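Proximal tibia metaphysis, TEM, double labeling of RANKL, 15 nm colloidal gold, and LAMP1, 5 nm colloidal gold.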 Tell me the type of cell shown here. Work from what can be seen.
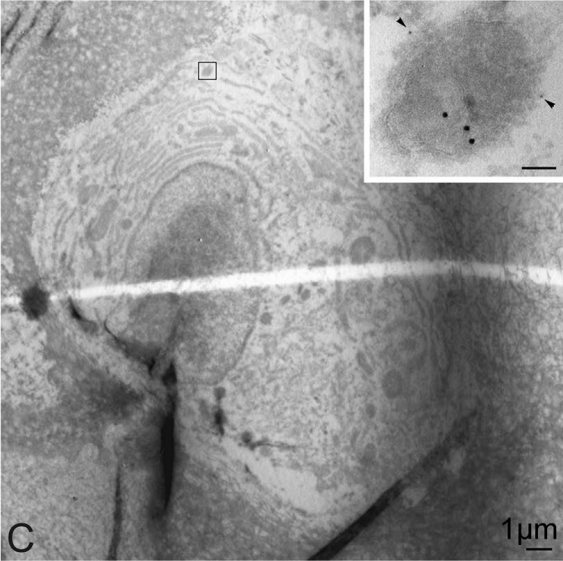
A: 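The cell lies surrounded by dense dark matrix. Concentric layers of flattened cisternae encircle a central region of the cell.
Osteocyte.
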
